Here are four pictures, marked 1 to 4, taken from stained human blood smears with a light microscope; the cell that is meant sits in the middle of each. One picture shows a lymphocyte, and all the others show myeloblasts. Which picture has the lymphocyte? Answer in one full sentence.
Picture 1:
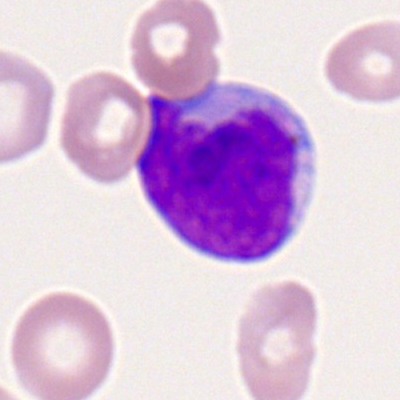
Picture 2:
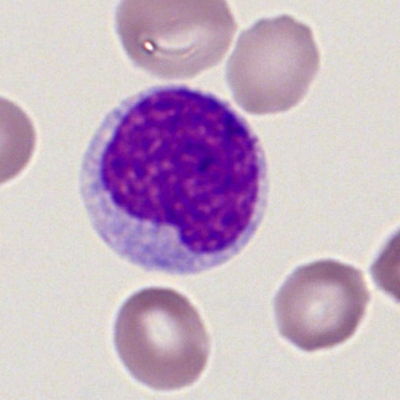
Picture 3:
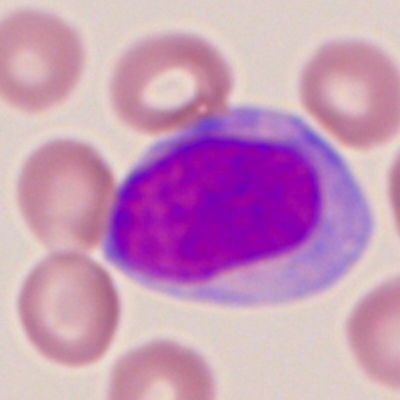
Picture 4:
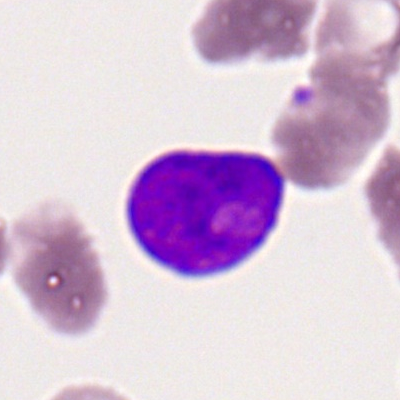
Picture 2 is the one that shows the lymphocyte.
